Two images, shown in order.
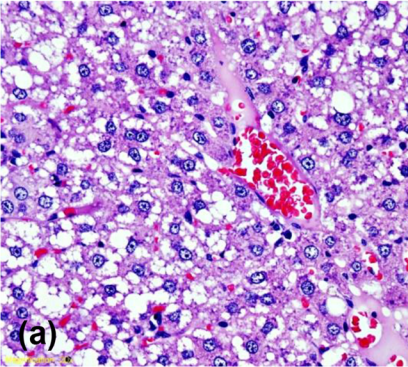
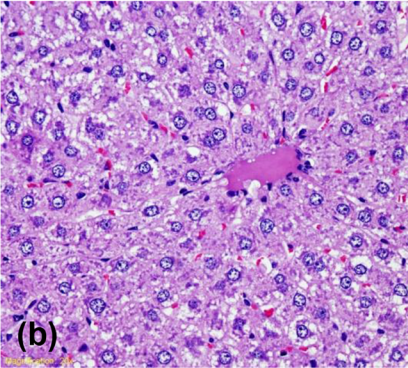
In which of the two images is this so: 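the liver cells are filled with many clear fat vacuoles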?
The first image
